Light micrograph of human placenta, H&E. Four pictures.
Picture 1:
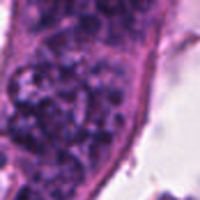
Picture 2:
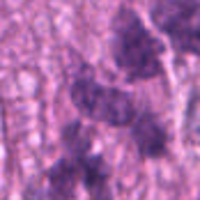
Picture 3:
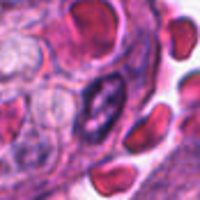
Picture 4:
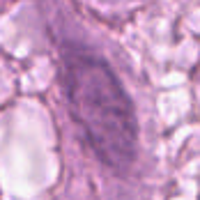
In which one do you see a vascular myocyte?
In picture 2.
